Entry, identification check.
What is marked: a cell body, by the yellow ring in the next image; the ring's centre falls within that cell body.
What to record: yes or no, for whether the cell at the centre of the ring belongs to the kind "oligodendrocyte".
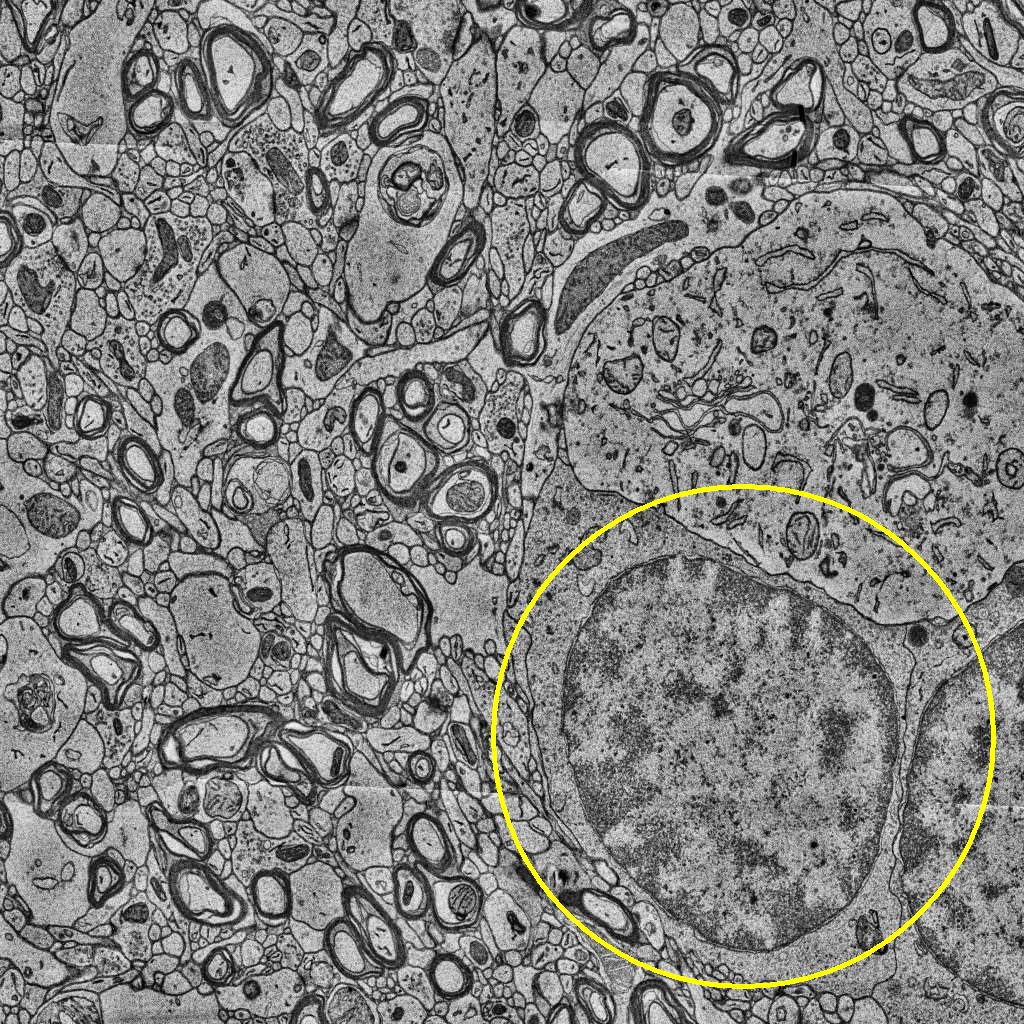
Yes, it belongs to that kind.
